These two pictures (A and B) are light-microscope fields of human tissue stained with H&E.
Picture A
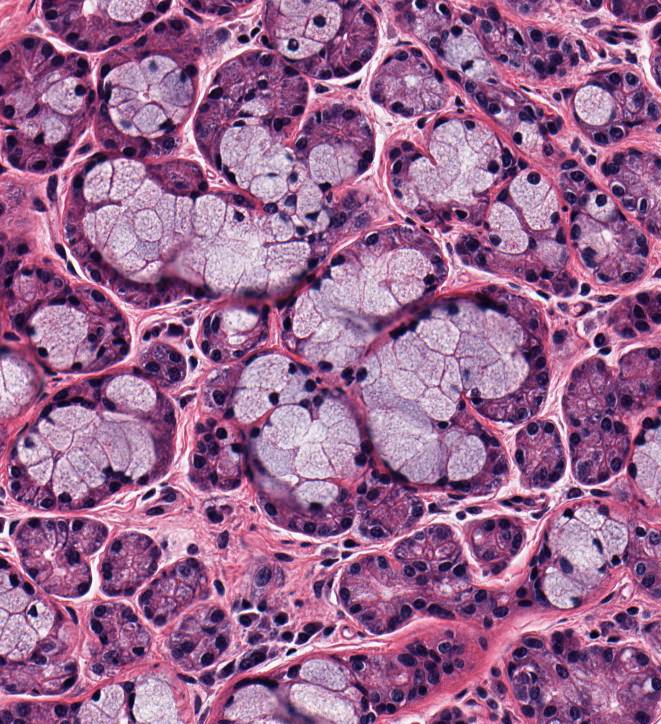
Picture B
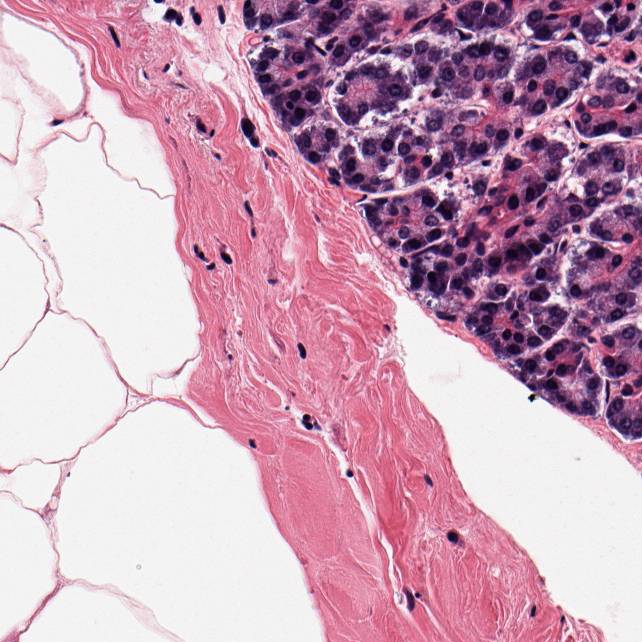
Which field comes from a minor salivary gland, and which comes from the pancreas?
A: minor salivary gland
B: pancreas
